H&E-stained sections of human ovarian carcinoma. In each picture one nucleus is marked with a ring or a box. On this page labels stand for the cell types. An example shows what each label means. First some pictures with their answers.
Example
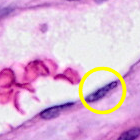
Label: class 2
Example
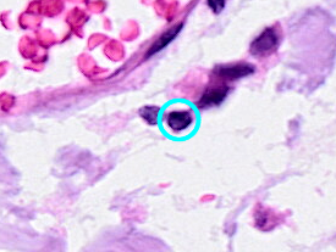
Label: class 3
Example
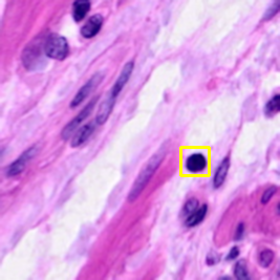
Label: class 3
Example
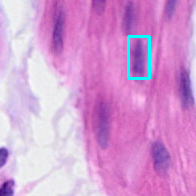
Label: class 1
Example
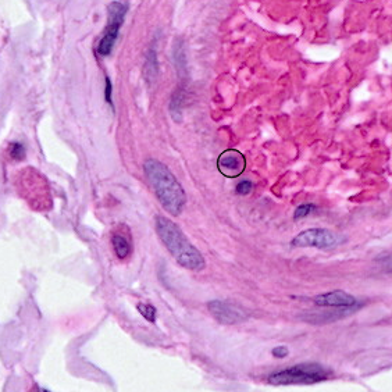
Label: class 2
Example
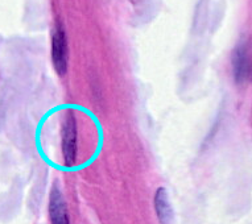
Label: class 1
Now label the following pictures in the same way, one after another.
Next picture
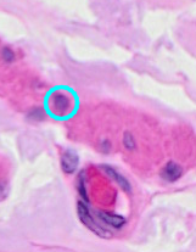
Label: class 1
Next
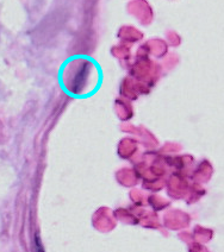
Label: class 2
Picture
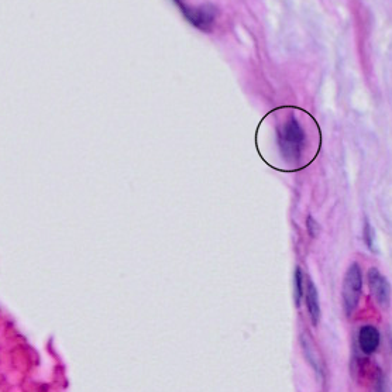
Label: class 2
